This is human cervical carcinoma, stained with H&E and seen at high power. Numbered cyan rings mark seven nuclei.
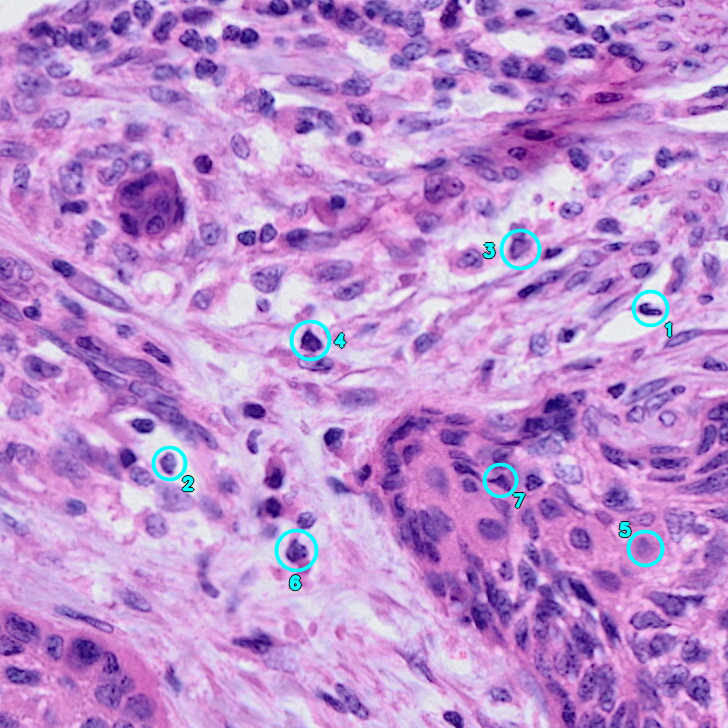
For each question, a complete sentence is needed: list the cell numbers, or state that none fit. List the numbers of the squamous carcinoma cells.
The cells with the numbers 5 and 7 are squamous carcinoma cells.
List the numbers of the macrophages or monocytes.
Among all the marked cells, a macrophage or monocyte is found only at number 3.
